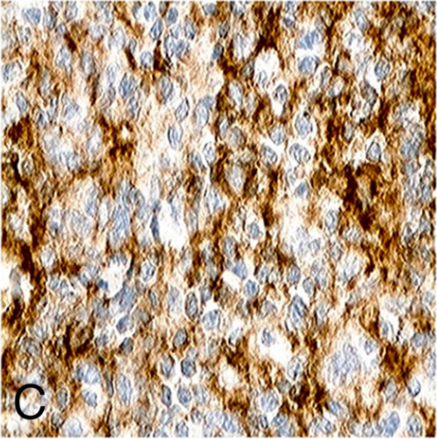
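Cell borders are indistinct, so the cells appear to merge. Intense brown stain occupies the cytoplasm and interlacing processes between the nuclei, forming a dense meshwork, while the nuclei stay unstained.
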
